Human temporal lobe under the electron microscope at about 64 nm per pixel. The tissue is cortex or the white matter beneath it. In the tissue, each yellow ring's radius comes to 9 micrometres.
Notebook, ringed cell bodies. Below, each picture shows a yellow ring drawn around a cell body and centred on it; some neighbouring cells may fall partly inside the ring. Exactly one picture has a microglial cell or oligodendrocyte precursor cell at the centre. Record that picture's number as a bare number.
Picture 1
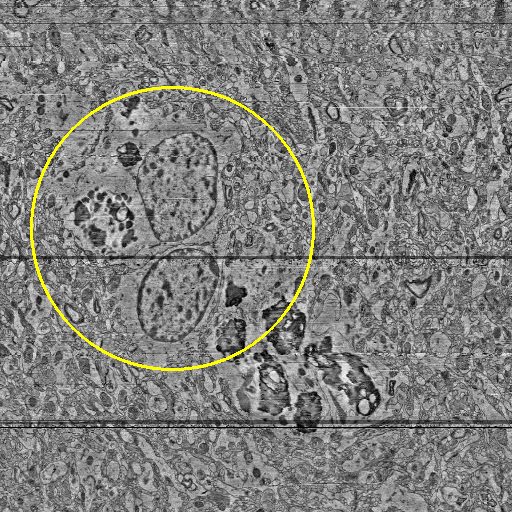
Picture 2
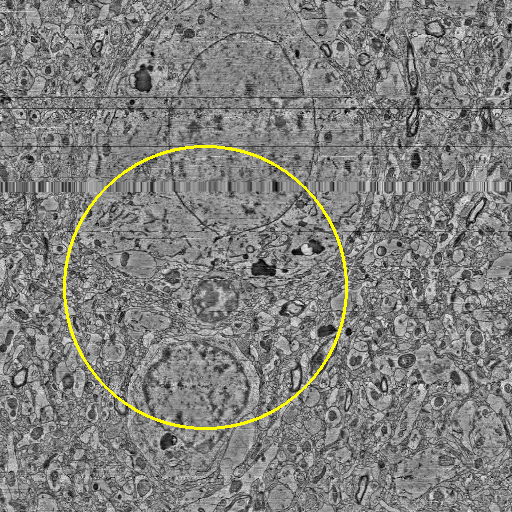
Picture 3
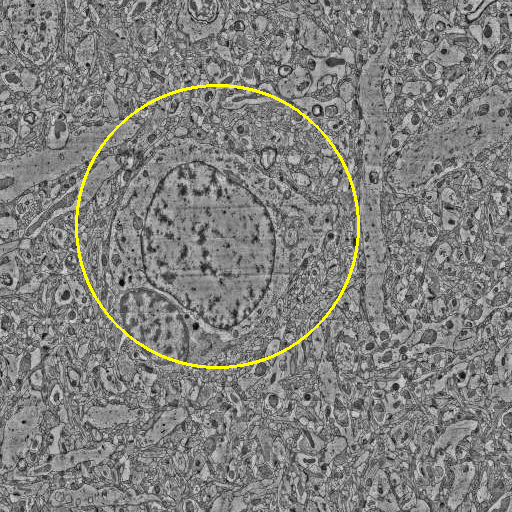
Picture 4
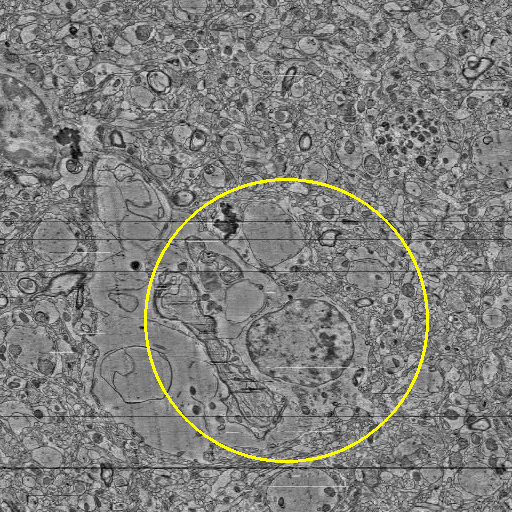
4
